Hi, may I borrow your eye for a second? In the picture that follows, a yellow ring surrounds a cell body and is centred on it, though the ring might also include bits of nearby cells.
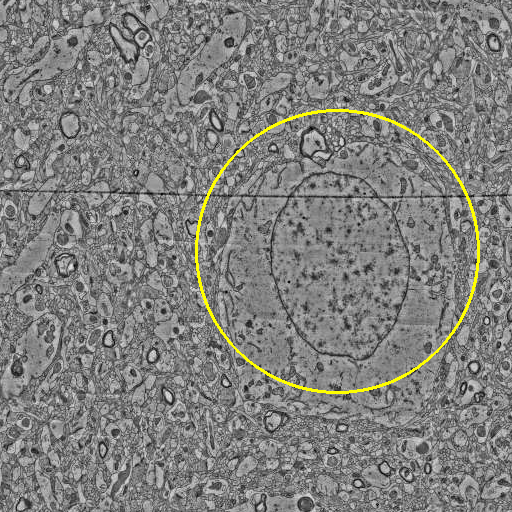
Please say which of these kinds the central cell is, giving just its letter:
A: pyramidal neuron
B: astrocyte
A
